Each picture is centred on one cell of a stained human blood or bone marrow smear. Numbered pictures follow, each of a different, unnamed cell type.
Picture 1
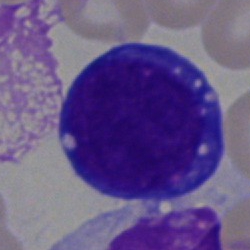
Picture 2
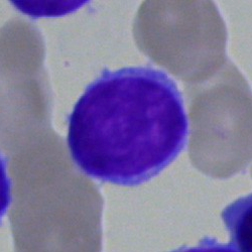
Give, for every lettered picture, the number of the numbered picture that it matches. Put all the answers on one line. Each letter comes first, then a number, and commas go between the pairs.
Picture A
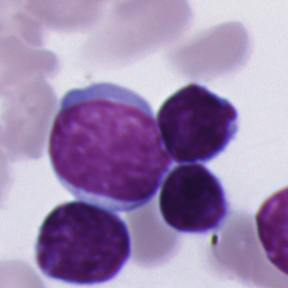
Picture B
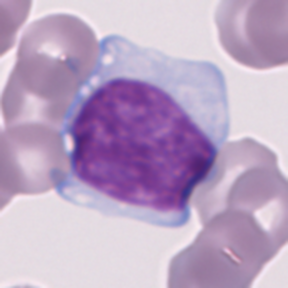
A 1, B 1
